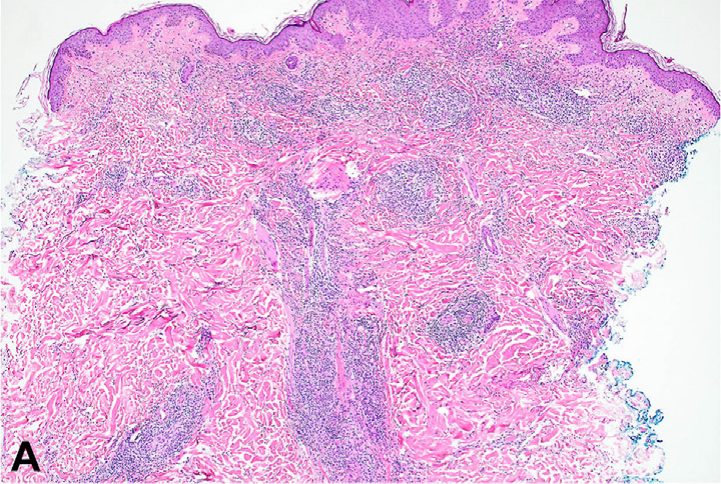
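This is a low-power view of skin, with the purple epidermis along the top and the pink collagen of the dermis below, crossed by a heavy inflammatory infiltrate. Dark blue collections of small cells sit in a band just beneath the epidermis in the superficial dermis. Further dark blue cuffs lie around vessels and a follicle deep in the dermis, forming columns and rounded nodules. Between these collections, scattered cells also lie among the collagen bundles. The infiltrate thus occupies both the upper and the deep dermis, not just one level.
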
